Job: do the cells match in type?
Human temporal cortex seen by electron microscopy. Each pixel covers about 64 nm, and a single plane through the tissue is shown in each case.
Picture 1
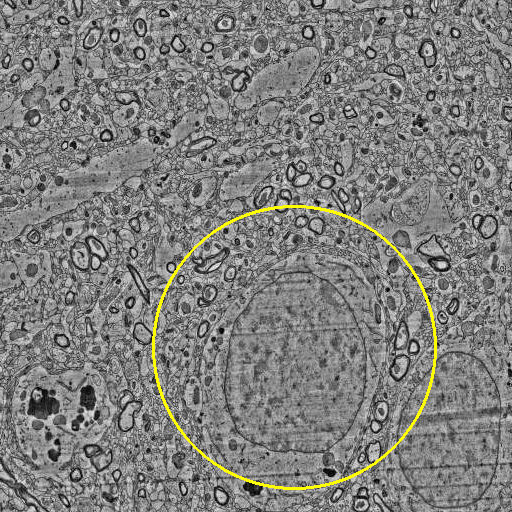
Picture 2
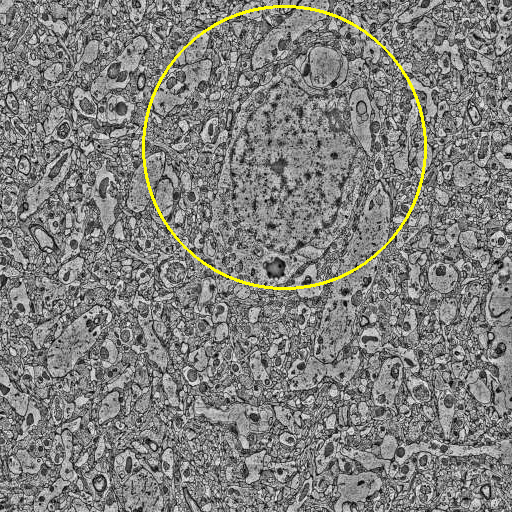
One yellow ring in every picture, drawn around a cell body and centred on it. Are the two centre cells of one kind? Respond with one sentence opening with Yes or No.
No, the ringed cells in the two pictures are of two separate kinds.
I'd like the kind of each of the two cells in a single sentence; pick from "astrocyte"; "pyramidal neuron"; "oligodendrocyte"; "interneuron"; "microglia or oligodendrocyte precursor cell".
The first ring marks a pyramidal neuron, and the second ring marks an interneuron.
